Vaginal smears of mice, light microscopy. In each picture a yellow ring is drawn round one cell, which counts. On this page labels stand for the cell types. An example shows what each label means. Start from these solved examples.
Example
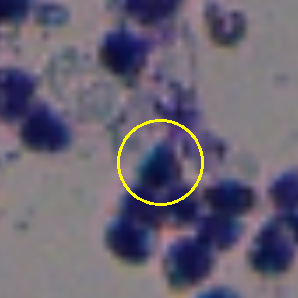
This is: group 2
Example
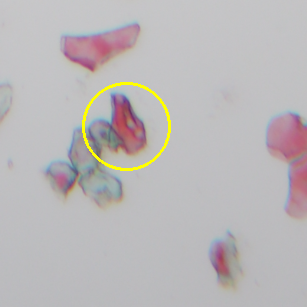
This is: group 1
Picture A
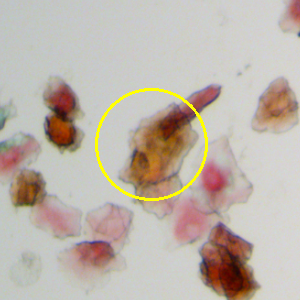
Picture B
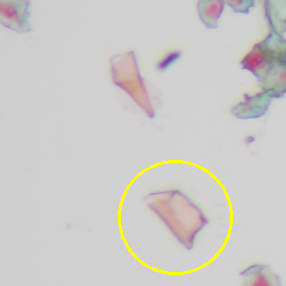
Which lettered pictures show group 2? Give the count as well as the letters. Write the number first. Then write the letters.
0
